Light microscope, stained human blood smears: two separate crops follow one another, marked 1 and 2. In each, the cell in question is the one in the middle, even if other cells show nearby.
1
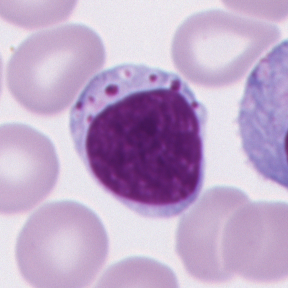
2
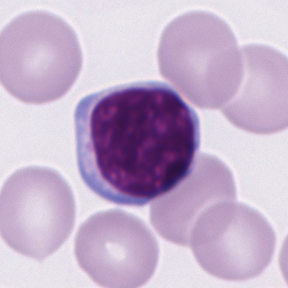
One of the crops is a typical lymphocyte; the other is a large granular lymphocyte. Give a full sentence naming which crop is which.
The middle cell in crop 1 is a large granular lymphocyte; the middle cell in crop 2 is a typical lymphocyte.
